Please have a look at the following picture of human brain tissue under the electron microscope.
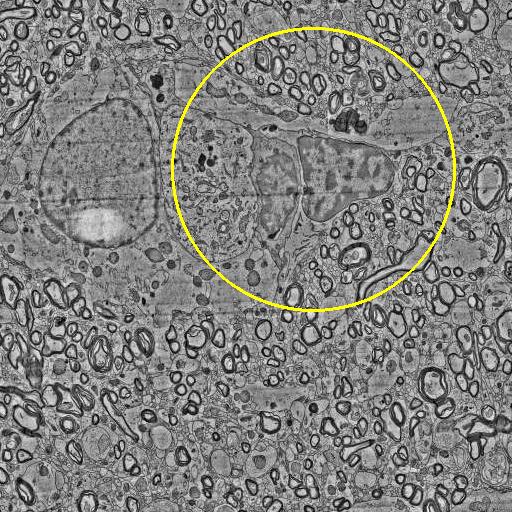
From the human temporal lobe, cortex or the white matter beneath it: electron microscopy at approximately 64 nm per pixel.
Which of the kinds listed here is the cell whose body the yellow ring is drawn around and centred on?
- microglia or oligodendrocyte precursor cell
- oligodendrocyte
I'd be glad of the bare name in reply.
microglia or oligodendrocyte precursor cell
